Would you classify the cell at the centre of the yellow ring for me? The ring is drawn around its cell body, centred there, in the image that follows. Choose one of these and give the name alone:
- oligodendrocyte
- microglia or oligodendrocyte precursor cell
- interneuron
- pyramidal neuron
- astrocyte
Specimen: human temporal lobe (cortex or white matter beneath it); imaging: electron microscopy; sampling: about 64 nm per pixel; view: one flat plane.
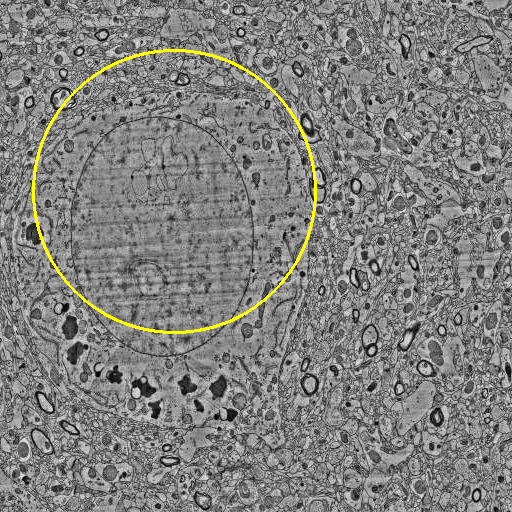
pyramidal neuron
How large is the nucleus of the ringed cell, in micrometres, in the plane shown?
About 15 by 12 micrometers, in this plane.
